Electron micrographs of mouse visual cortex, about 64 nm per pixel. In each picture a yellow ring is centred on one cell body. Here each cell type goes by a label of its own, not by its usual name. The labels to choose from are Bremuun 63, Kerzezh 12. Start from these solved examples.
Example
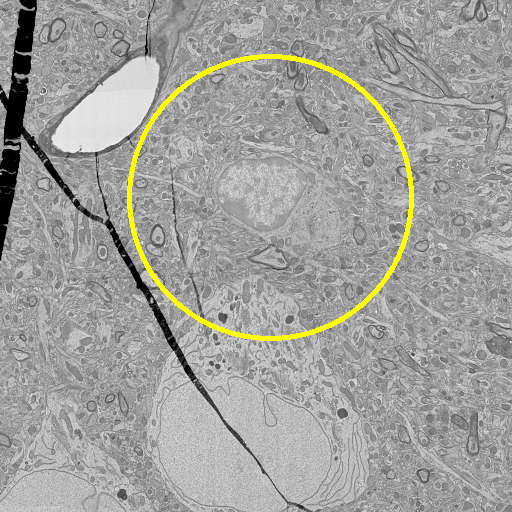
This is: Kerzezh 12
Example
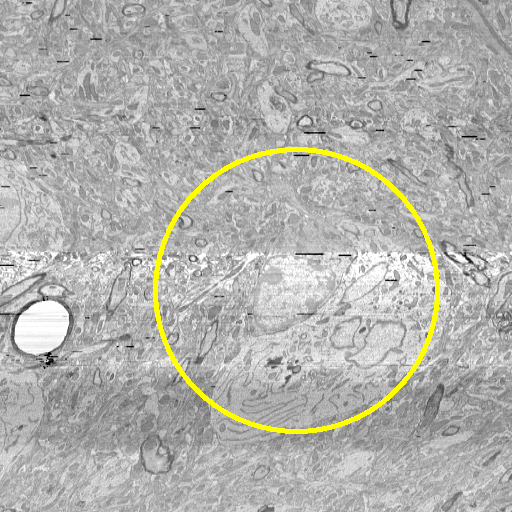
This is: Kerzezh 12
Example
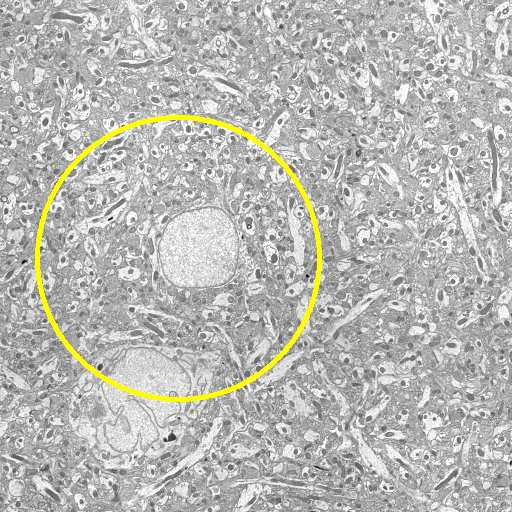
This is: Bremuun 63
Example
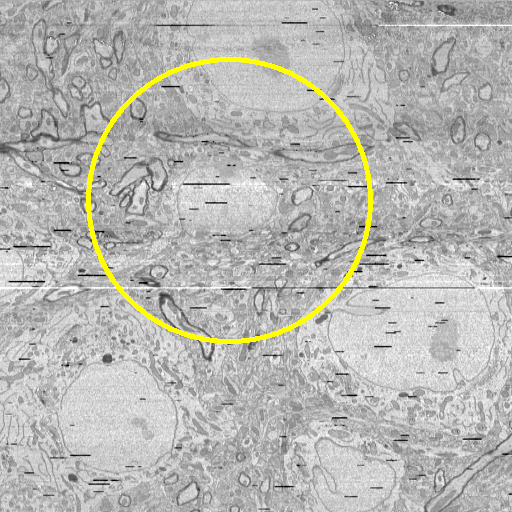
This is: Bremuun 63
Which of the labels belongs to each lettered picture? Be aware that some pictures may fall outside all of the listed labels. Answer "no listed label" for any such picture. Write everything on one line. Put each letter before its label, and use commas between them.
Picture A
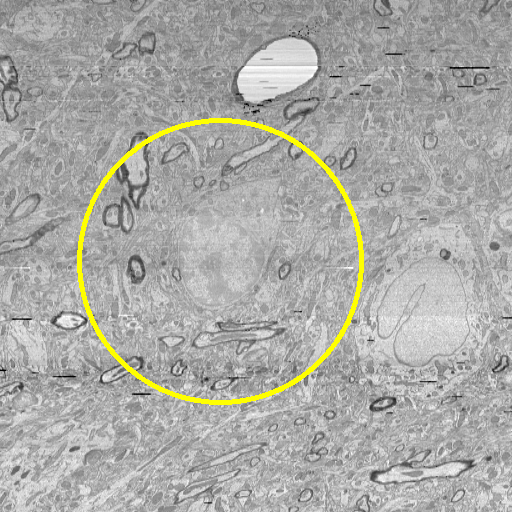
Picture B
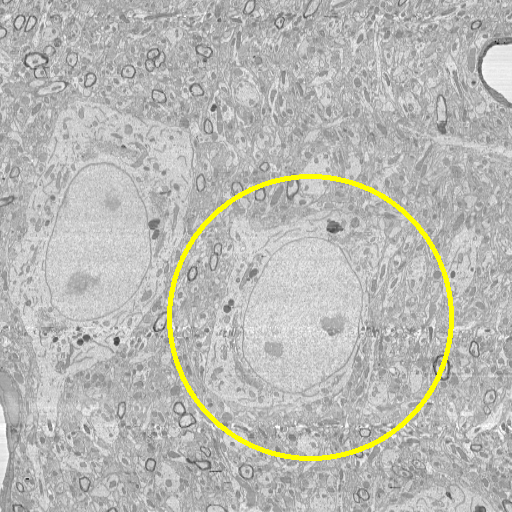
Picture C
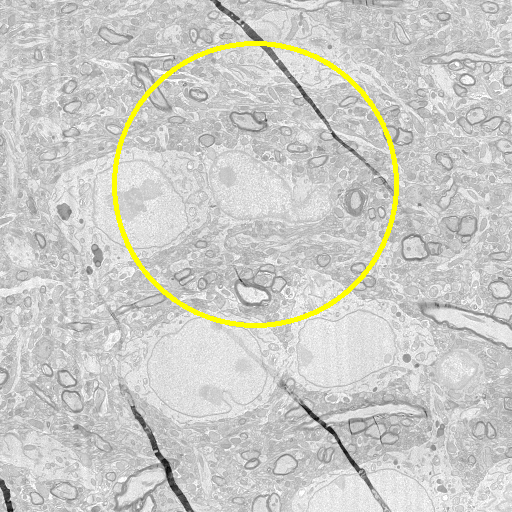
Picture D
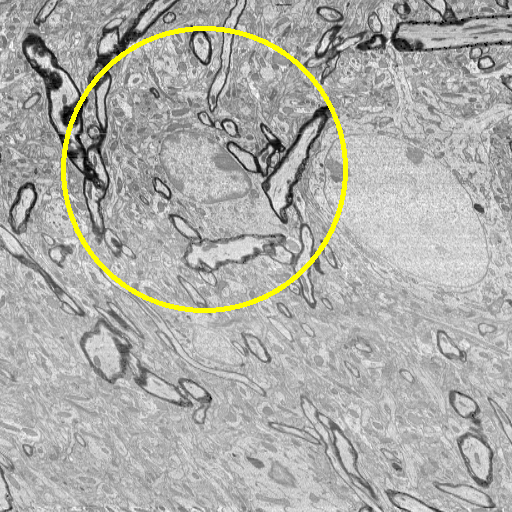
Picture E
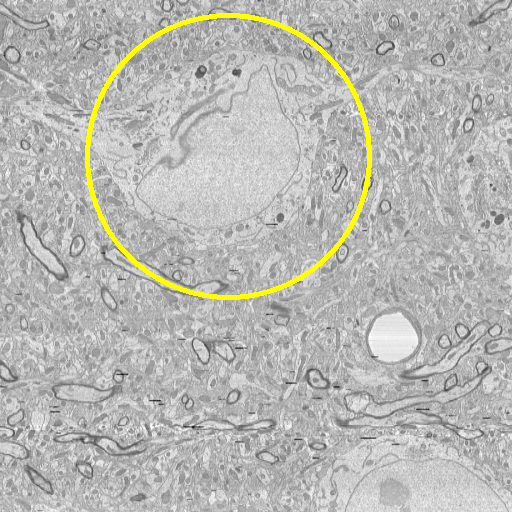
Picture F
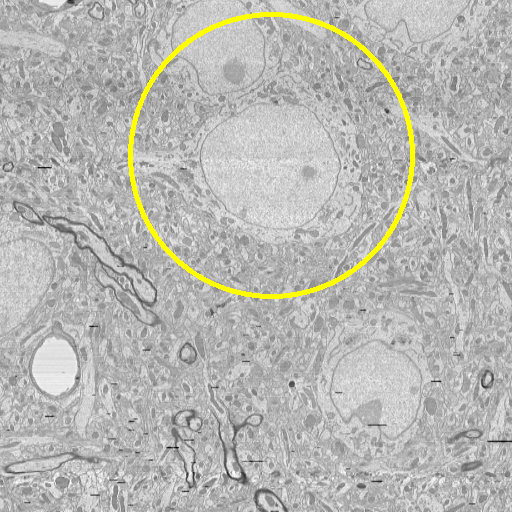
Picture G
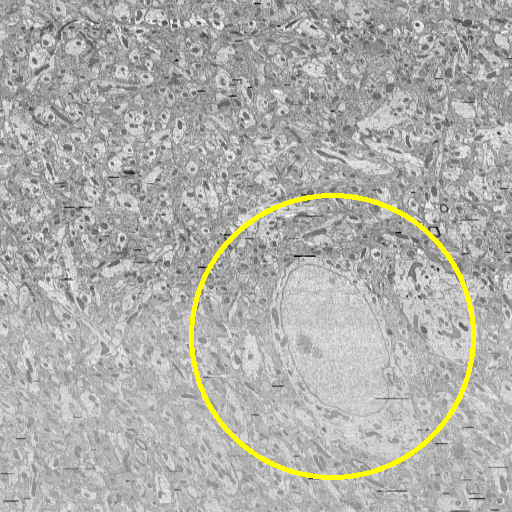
A Kerzezh 12, B no listed label, C Bremuun 63, D Kerzezh 12, E no listed label, F no listed label, G no listed label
